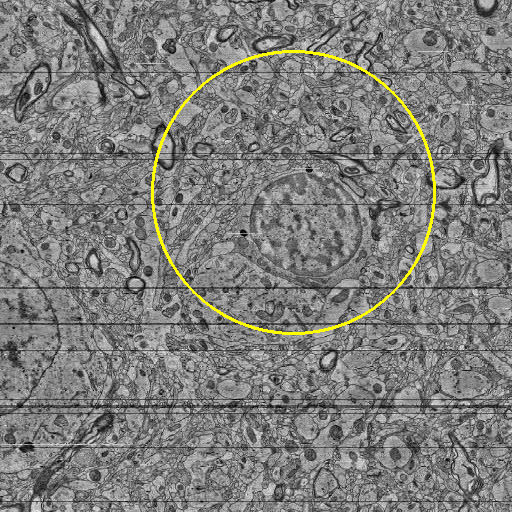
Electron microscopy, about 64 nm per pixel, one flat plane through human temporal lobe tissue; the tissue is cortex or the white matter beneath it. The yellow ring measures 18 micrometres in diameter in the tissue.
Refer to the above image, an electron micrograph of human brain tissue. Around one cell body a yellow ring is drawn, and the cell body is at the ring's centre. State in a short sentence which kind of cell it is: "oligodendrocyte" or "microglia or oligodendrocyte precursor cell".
The centre of the ring falls on an oligodendrocyte.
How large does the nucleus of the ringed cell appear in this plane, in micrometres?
In this plane the nucleus measures roughly 7 micrometres across.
